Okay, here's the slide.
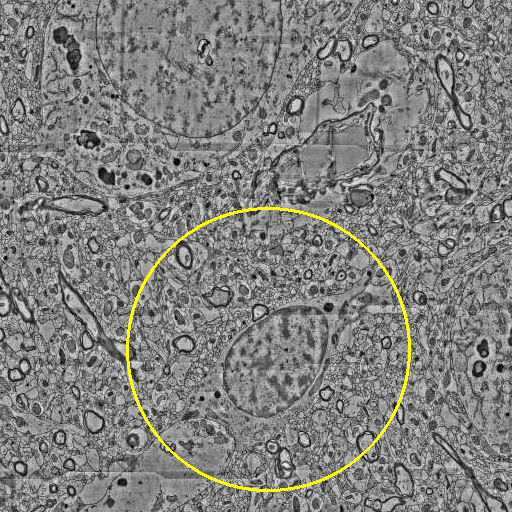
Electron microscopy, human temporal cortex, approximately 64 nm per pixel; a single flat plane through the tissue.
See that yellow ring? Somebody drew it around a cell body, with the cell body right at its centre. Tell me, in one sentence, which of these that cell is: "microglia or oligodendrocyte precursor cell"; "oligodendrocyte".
The cell in the middle of the ring is an oligodendrocyte.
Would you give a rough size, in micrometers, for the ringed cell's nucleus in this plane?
In this plane the nucleus measures roughly 8 by 6 micrometers.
